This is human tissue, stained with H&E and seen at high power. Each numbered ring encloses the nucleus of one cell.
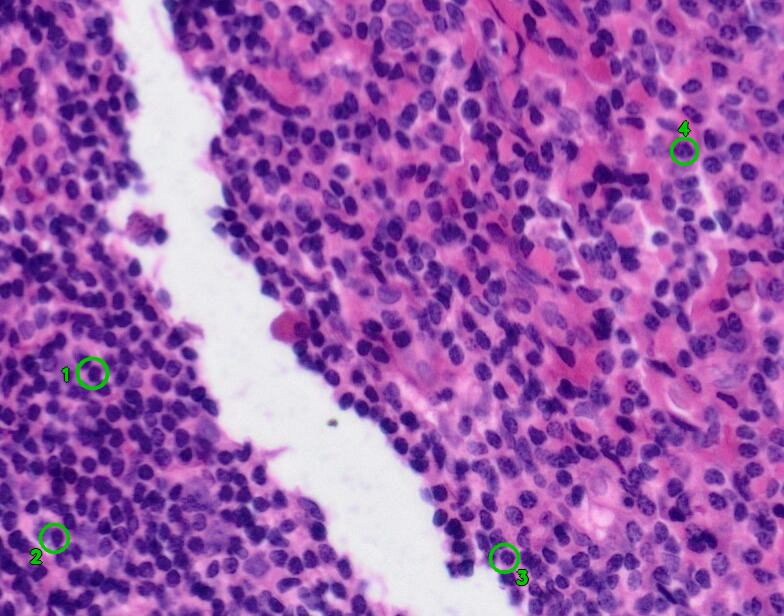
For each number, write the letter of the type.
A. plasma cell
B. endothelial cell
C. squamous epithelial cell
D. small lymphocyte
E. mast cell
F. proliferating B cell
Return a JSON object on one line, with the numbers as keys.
{"1": "D", "2": "D", "3": "D", "4": "A"}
